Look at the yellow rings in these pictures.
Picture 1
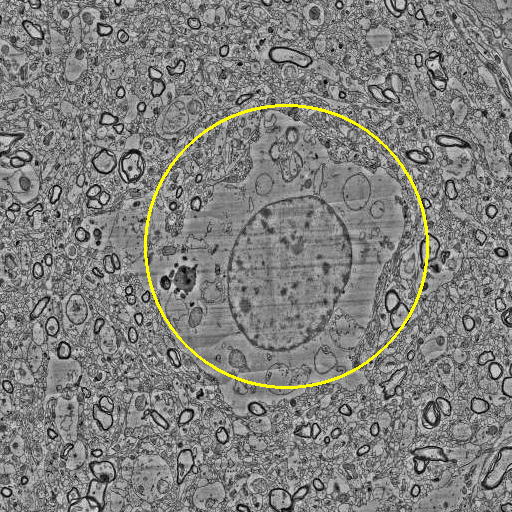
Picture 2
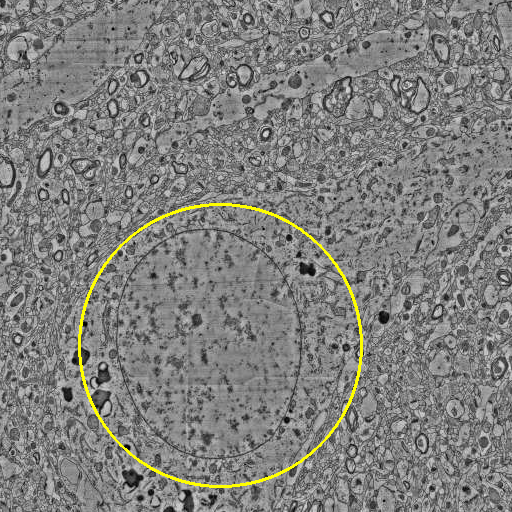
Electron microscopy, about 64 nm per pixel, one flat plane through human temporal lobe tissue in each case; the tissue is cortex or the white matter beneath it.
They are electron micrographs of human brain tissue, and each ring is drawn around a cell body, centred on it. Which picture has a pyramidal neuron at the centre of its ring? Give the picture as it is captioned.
Picture 2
